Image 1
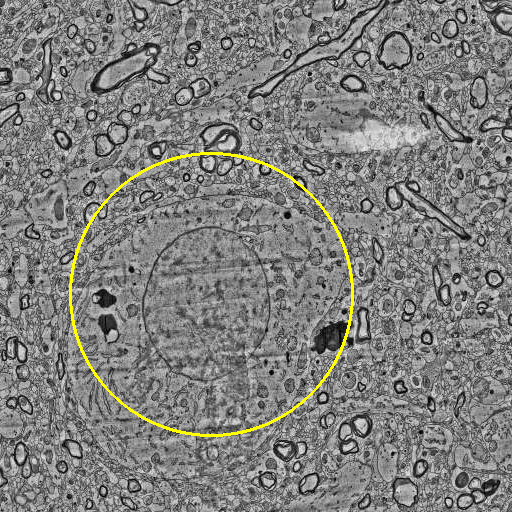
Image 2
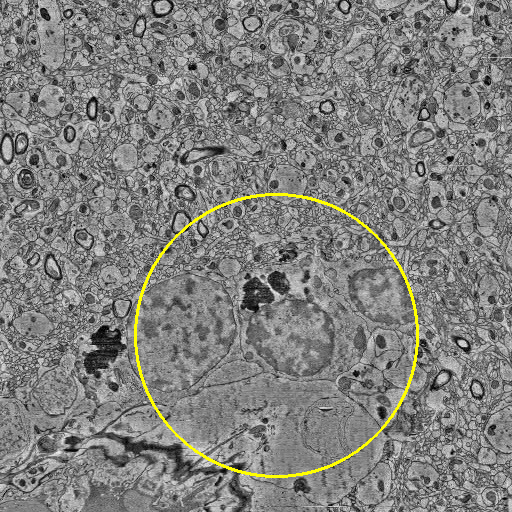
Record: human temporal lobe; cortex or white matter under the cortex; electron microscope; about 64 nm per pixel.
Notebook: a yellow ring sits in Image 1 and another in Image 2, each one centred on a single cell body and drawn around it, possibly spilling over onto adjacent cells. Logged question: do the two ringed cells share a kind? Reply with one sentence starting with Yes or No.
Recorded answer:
No, the centre cells inside the rings of Image 1 and Image 2 are of two kinds.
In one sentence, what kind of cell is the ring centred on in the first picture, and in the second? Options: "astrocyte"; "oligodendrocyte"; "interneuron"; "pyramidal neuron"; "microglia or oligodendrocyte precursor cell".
The cell at the centre of the second ring is an oligodendrocyte; the first ring's cell is a pyramidal neuron.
